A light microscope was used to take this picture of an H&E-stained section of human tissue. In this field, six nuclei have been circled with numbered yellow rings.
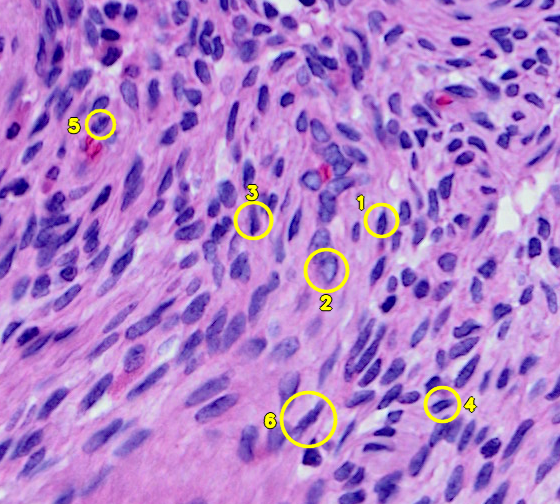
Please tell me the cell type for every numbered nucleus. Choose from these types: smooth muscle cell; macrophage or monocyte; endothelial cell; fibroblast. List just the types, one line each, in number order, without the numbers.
fibroblast
endothelial cell
fibroblast
fibroblast
endothelial cell
fibroblast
